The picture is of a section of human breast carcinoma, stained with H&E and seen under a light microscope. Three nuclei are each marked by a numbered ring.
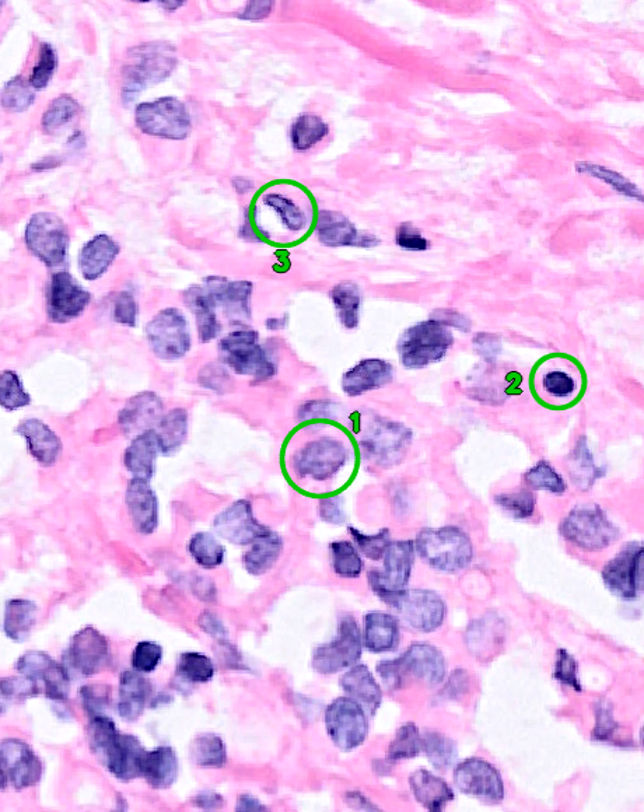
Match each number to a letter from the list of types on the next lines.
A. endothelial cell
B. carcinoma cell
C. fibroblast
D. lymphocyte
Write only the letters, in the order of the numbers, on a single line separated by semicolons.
B; D; A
